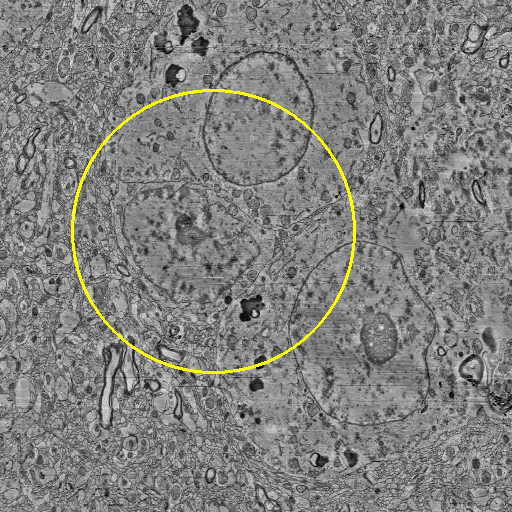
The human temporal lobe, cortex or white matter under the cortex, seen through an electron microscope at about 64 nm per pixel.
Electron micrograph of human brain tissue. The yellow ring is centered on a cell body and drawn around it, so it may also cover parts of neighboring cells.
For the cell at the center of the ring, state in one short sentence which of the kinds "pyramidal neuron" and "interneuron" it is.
This ring is centered on an interneuron.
